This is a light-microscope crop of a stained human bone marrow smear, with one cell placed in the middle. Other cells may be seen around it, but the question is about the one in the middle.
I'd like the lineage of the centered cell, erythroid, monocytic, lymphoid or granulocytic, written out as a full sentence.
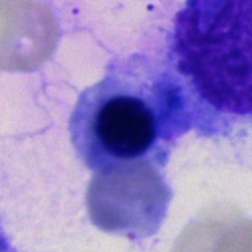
The cell at the very center of the crop belongs to the erythroid lineage.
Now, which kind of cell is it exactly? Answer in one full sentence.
The cell in the exact centre of the crop is an erythroblast.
